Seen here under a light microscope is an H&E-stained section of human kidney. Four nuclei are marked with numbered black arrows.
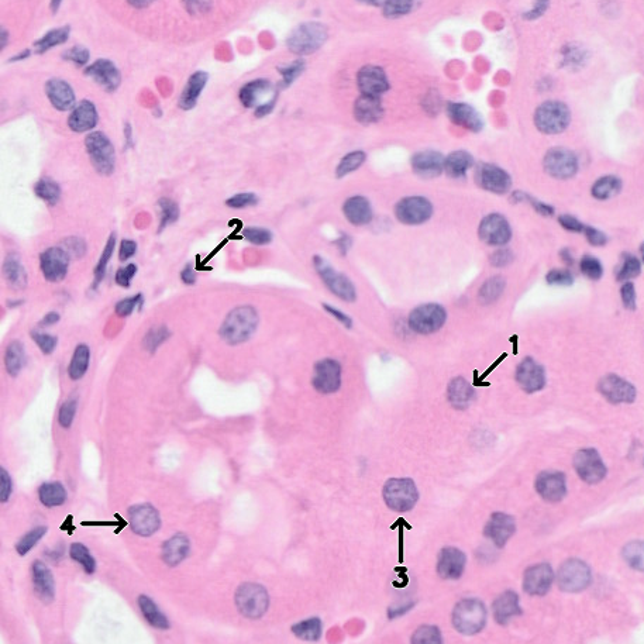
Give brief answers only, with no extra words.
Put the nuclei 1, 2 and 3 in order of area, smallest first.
2, 1, 3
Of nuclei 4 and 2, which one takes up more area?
4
